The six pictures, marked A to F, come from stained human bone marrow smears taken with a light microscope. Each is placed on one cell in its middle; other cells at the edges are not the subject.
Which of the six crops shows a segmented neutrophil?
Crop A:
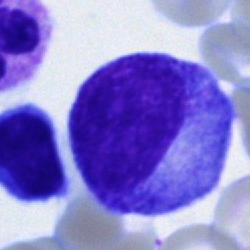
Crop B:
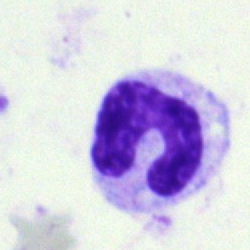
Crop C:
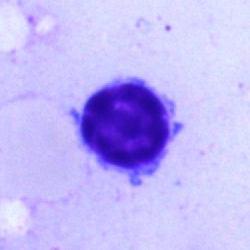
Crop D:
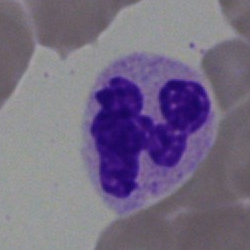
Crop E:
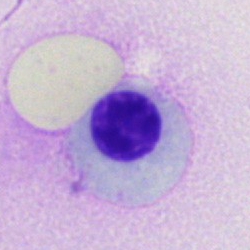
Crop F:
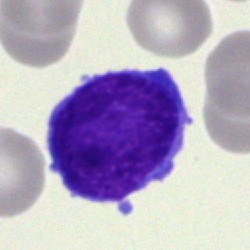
D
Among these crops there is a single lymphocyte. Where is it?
C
